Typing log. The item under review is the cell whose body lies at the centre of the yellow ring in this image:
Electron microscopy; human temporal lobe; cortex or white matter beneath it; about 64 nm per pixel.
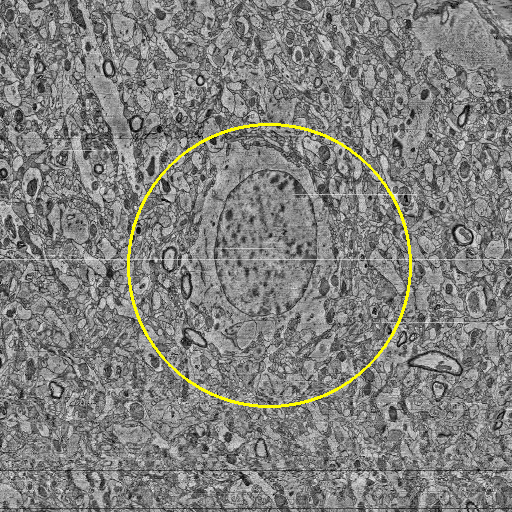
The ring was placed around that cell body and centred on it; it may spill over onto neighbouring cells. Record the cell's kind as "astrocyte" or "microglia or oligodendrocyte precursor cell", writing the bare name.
astrocyte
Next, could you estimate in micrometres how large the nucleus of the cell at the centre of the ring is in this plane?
In this plane, approximately 10 by 7 micrometers.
